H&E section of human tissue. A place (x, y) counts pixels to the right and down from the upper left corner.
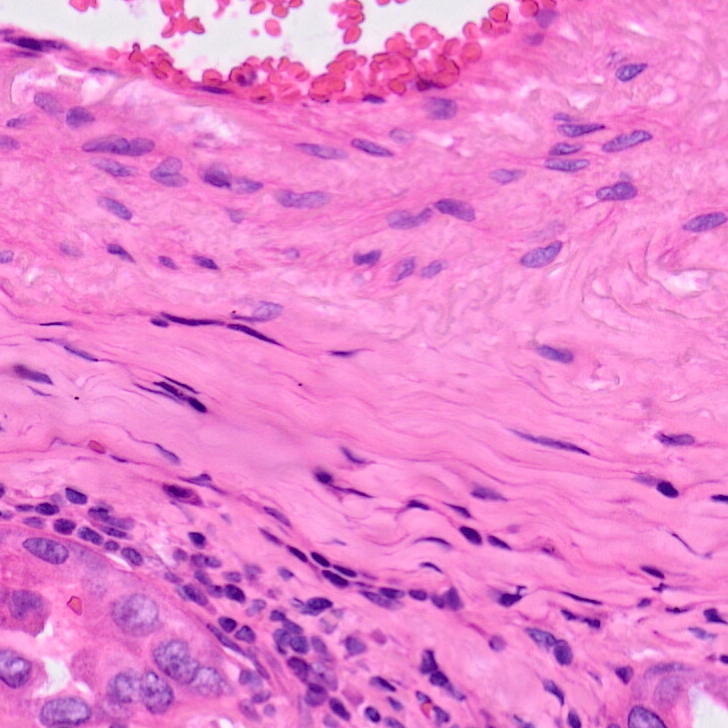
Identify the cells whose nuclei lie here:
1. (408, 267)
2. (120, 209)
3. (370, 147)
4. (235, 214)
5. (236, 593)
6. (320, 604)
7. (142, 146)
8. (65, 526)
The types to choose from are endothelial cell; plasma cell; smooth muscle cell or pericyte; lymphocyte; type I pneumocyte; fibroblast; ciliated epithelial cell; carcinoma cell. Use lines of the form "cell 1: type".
cell 1: smooth muscle cell or pericyte
cell 2: smooth muscle cell or pericyte
cell 3: smooth muscle cell or pericyte
cell 4: smooth muscle cell or pericyte
cell 5: lymphocyte
cell 6: lymphocyte
cell 7: smooth muscle cell or pericyte
cell 8: lymphocyte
